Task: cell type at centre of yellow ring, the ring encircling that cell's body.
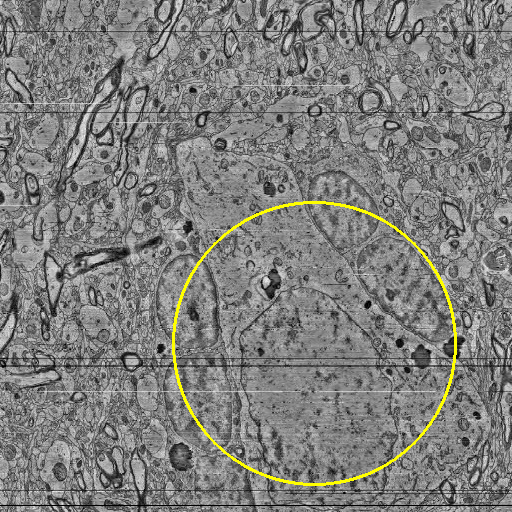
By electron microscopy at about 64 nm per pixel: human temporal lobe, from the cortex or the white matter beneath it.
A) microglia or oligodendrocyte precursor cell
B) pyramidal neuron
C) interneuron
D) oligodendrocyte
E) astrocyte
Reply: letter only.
B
